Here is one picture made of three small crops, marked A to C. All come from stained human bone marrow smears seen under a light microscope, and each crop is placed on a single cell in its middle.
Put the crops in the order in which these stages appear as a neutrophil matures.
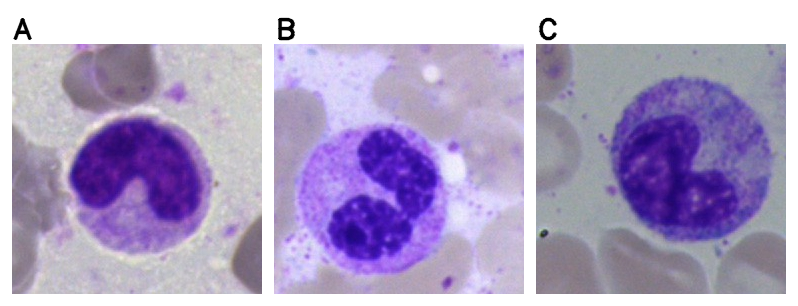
C, A, B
